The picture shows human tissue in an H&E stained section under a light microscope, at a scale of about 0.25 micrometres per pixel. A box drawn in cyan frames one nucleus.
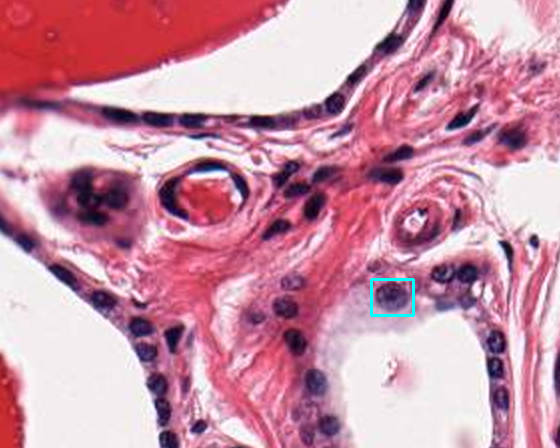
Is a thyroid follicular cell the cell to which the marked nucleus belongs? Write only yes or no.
yes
